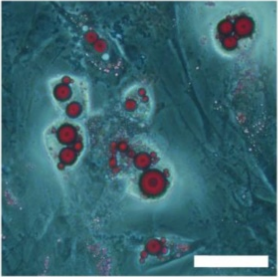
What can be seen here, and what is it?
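Large, very round red droplets sit in clusters within several cell bodies, each with a sharp rim. Smaller red droplets are scattered nearby. The droplets stand out clearly against the pale cytoplasm.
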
